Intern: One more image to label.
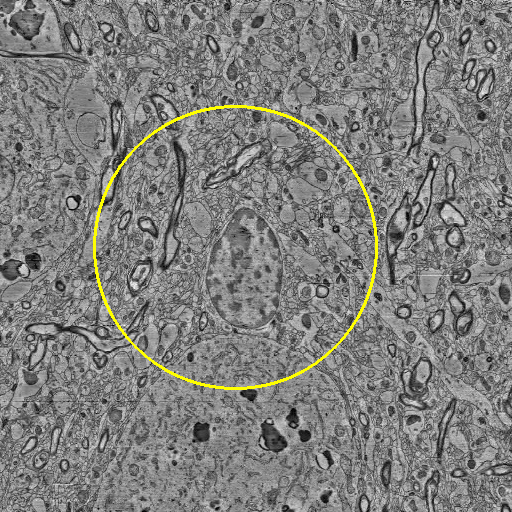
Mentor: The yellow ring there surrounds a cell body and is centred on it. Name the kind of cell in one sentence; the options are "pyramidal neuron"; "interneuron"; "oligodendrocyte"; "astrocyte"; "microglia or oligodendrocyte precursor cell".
The ring marks the cell body of a microglial cell or oligodendrocyte precursor cell.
